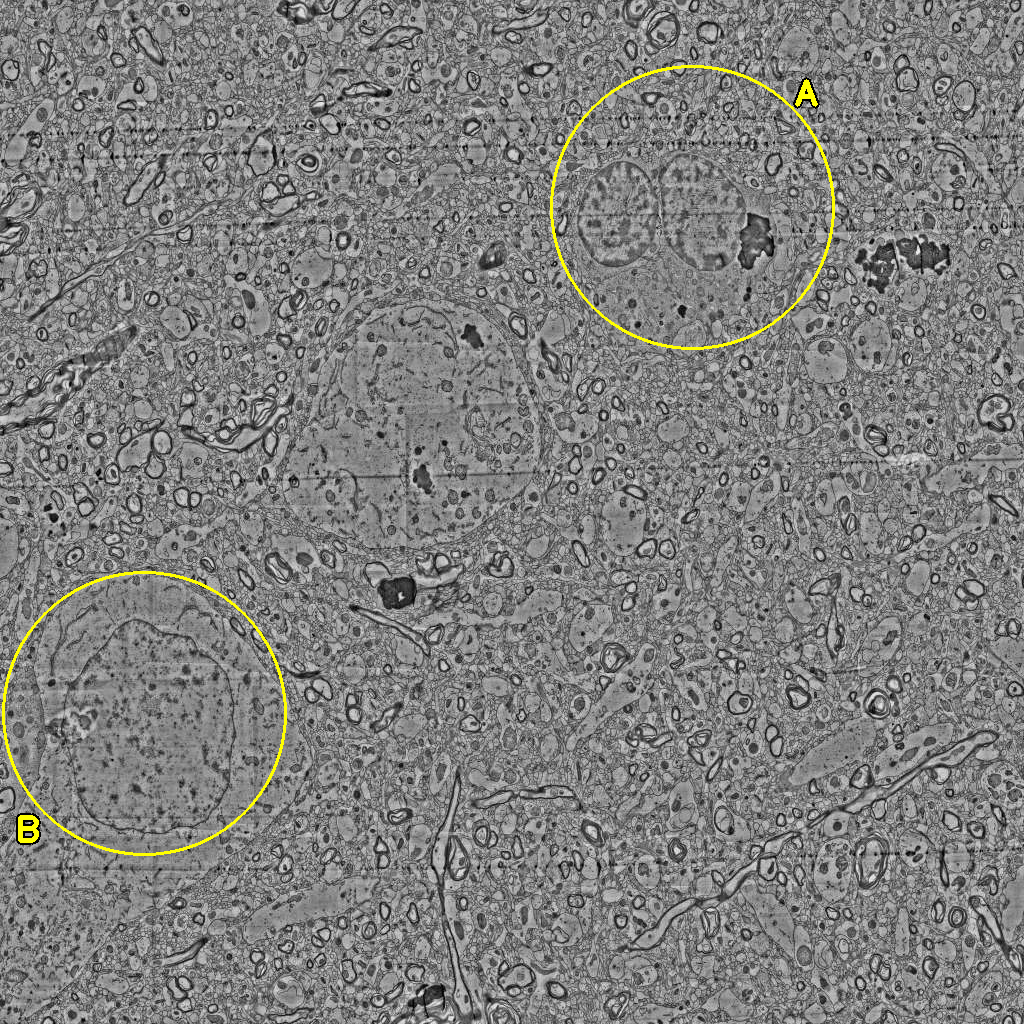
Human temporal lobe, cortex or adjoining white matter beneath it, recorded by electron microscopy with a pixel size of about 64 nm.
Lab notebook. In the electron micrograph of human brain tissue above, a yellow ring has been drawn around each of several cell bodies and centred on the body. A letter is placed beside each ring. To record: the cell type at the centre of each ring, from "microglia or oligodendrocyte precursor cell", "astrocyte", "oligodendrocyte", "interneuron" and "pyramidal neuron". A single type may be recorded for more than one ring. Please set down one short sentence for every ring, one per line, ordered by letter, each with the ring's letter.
The centre of ring A is occupied by an oligodendrocyte.
The centre of ring B is occupied by a pyramidal neuron.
